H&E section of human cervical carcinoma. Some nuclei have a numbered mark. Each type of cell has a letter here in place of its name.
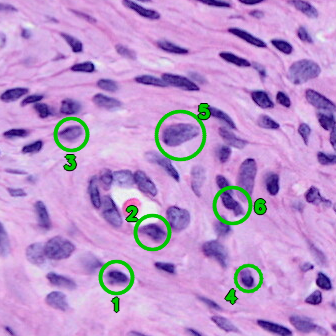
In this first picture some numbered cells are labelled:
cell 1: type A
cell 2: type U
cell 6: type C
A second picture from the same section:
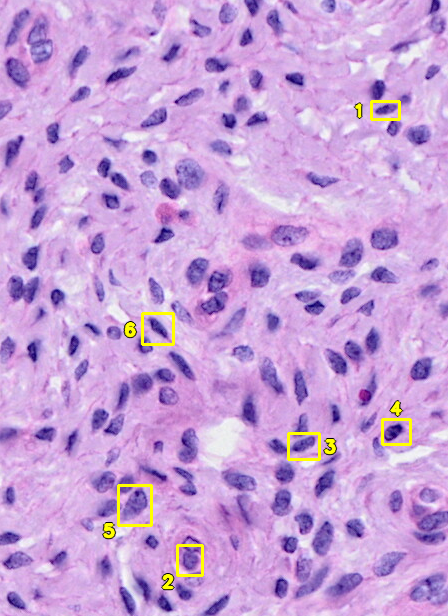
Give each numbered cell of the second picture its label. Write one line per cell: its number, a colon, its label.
1: type C
2: type U
3: type C
4: type A
5: type C
6: type C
